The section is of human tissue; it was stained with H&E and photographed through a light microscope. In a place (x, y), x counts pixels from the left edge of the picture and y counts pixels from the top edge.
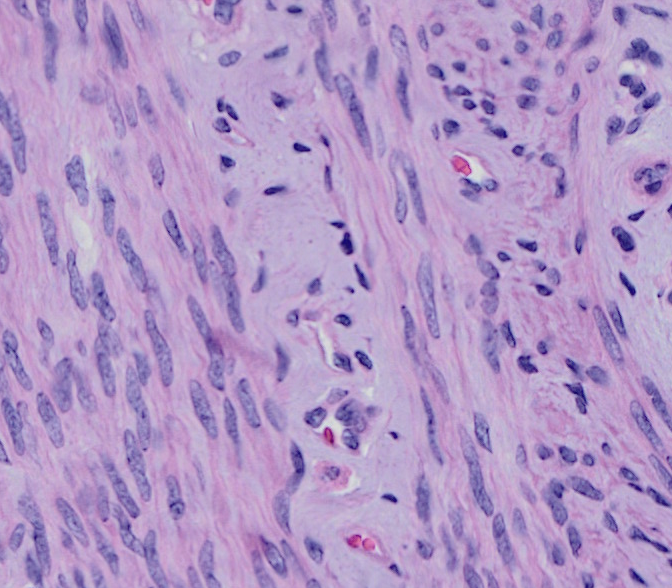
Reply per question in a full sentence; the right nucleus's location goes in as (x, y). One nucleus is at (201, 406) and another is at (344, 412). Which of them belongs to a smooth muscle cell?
The nucleus that belongs to a smooth muscle cell is located at (201, 406).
